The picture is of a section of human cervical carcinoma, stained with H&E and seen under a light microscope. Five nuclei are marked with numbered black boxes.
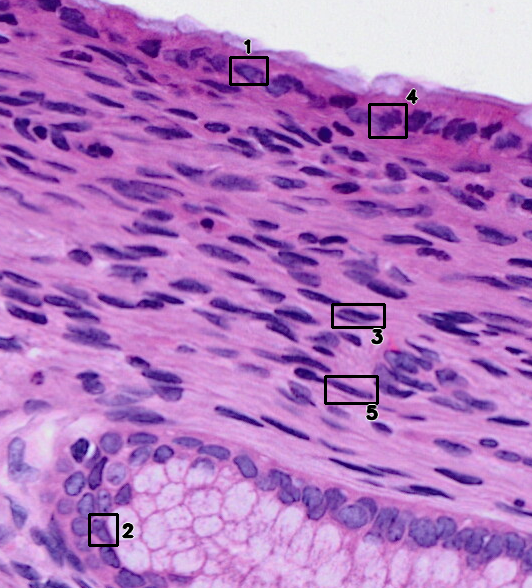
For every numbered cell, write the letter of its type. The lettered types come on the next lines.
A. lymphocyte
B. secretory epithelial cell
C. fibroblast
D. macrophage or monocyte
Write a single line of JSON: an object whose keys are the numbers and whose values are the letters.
{"1": "B", "2": "B", "3": "C", "4": "B", "5": "C"}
